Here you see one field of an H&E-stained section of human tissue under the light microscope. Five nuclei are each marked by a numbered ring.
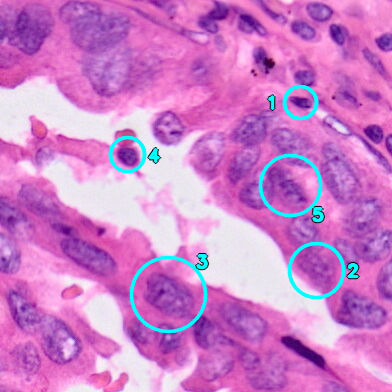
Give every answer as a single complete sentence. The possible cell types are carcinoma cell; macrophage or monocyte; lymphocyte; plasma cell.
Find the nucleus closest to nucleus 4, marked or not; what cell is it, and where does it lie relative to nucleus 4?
The nearest one is a carcinoma cell, found above and to the right of nucleus 4.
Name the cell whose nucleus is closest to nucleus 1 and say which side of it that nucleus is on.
The closest nucleus belongs to a plasma cell and sits above nucleus 1.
